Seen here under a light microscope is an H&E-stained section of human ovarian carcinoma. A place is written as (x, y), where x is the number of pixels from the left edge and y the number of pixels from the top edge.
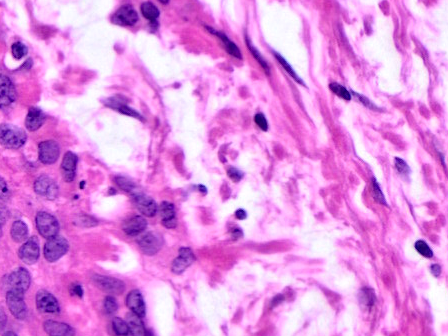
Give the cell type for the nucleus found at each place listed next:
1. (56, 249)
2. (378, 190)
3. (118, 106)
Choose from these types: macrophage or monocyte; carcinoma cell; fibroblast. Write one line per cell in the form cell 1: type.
cell 1: carcinoma cell
cell 2: fibroblast
cell 3: fibroblast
